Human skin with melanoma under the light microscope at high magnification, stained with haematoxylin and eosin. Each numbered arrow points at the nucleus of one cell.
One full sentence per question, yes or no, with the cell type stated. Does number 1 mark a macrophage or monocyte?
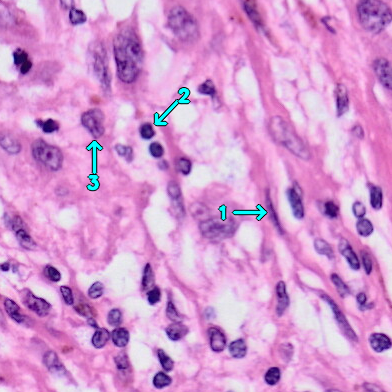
No, cell 1 is not a macrophage or monocyte. It is a fibroblast or myofibroblast.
